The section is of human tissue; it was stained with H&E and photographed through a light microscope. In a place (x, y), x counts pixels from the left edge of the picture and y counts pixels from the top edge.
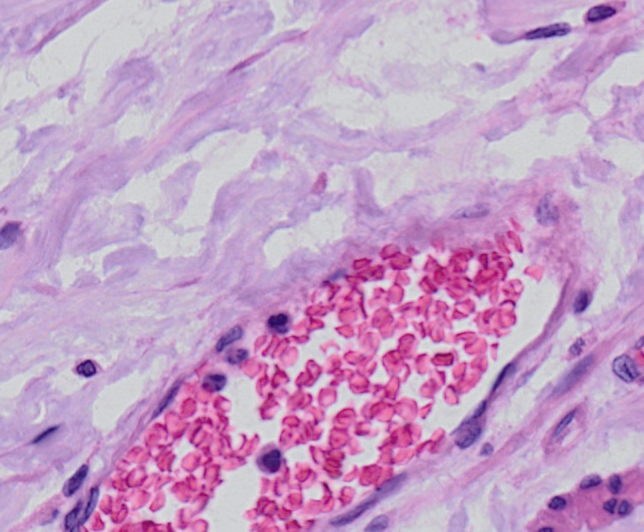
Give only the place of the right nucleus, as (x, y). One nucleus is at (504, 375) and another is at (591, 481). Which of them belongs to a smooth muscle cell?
(591, 481)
